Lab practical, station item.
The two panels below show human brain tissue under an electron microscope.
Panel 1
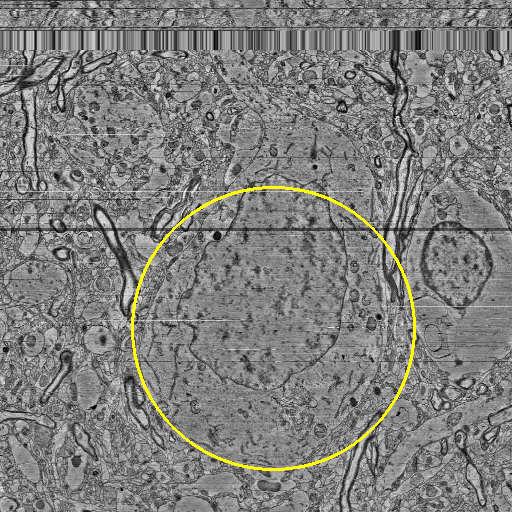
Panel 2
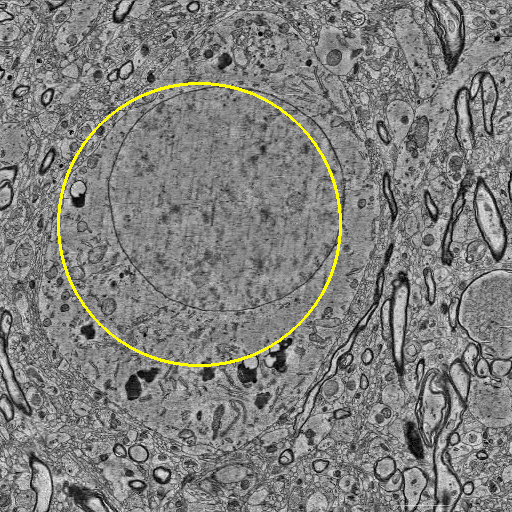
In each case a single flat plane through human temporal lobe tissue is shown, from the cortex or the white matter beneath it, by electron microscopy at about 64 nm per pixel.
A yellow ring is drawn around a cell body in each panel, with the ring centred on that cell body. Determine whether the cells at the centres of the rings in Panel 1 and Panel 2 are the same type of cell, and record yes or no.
yes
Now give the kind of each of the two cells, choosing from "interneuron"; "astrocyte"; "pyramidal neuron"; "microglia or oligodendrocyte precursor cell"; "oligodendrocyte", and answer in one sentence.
In the first picture and in the second, the ring is centred on a pyramidal neuron.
